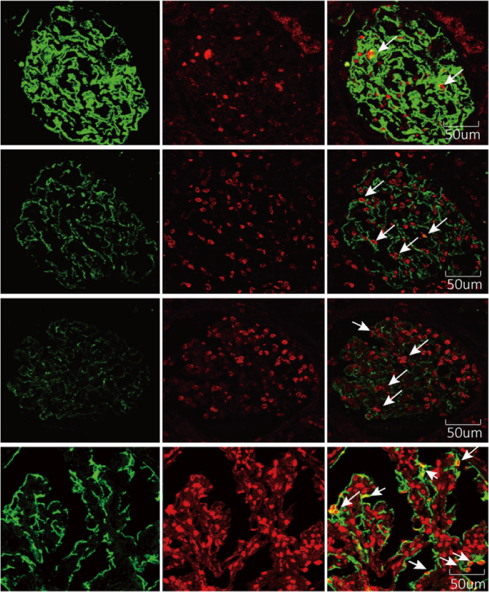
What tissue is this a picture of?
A: Glomeruli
